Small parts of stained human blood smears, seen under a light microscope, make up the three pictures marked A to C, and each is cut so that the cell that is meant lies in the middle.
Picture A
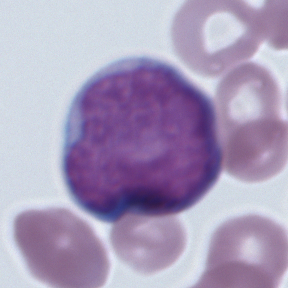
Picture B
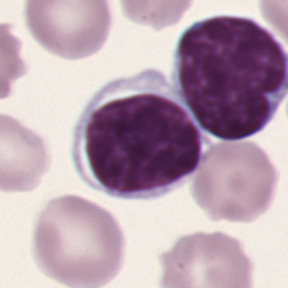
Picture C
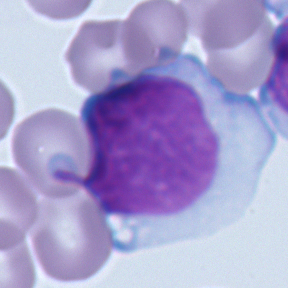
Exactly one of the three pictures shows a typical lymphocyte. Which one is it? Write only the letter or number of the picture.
B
